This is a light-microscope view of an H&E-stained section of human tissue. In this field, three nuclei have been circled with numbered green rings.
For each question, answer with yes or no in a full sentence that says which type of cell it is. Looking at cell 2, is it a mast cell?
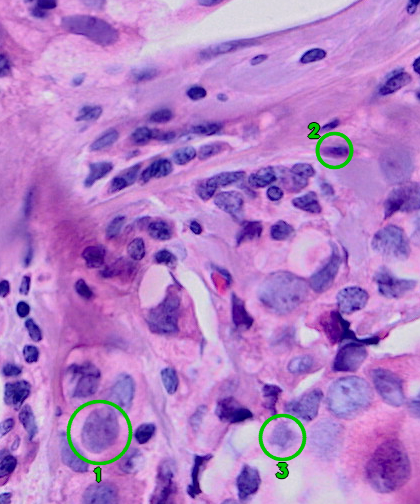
Yes, cell number 2 is classified as a mast cell.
